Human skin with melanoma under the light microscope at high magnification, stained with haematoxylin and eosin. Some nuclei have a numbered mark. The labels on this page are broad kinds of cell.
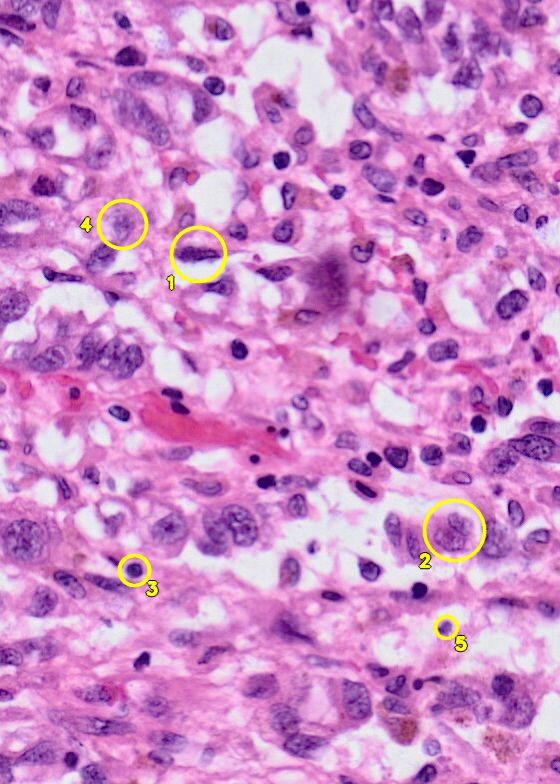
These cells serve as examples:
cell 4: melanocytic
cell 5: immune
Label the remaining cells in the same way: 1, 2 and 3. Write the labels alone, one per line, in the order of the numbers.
melanocytic
melanocytic
immune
